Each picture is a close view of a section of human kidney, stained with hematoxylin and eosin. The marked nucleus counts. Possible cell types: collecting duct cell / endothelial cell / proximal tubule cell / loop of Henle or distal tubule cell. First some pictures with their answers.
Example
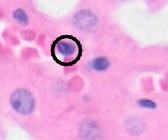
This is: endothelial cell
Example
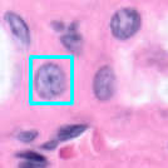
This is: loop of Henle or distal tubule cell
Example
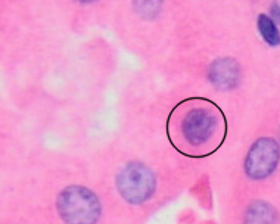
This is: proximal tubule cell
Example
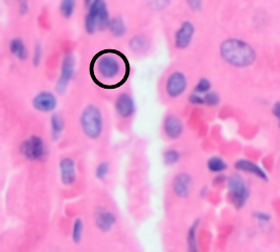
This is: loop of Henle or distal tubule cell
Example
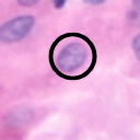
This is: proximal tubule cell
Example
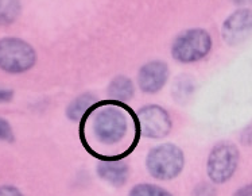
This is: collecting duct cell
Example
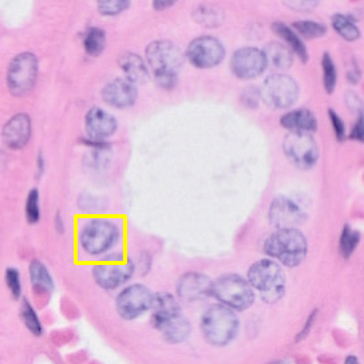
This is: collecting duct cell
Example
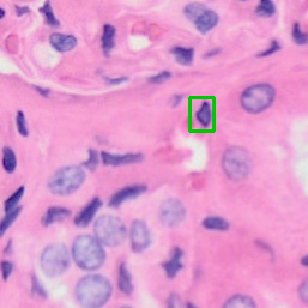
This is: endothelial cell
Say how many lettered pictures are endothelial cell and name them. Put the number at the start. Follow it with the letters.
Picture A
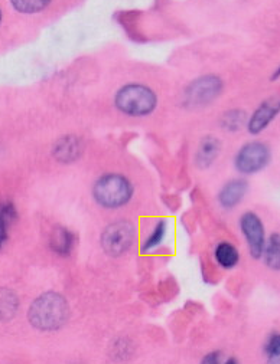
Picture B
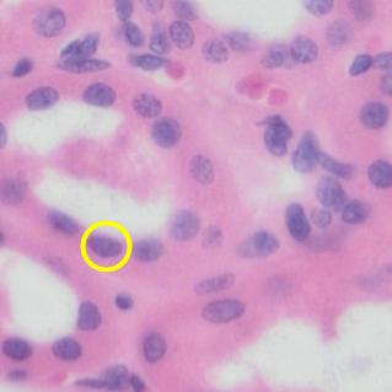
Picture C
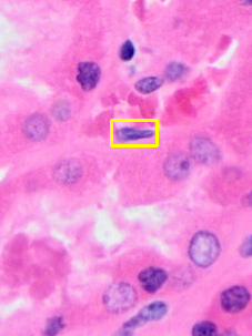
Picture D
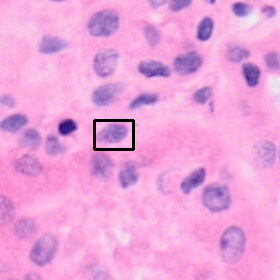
3: A, C, D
